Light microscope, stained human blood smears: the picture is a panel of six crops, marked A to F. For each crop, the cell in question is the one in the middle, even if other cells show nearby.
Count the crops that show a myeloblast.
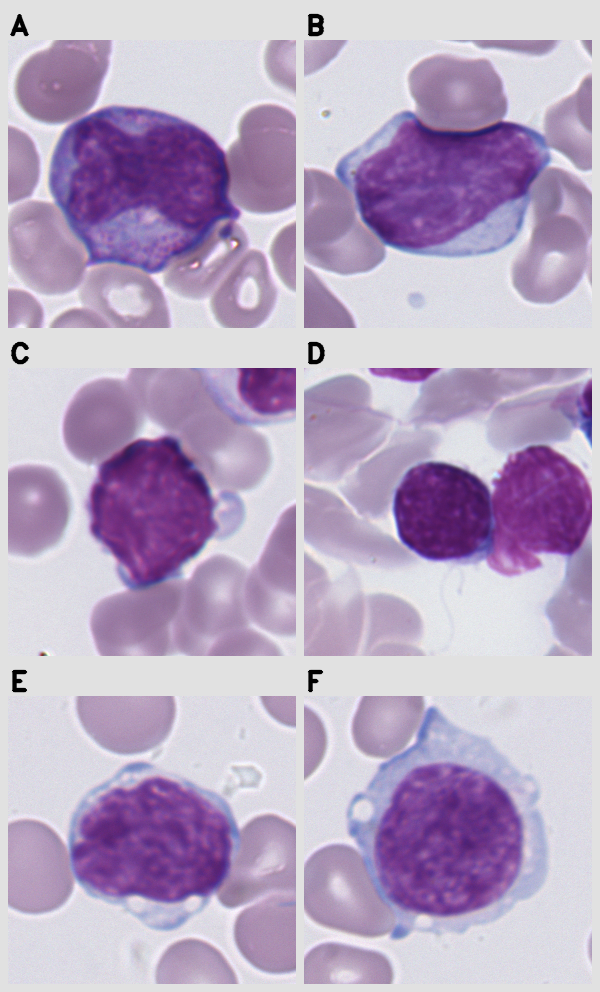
4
